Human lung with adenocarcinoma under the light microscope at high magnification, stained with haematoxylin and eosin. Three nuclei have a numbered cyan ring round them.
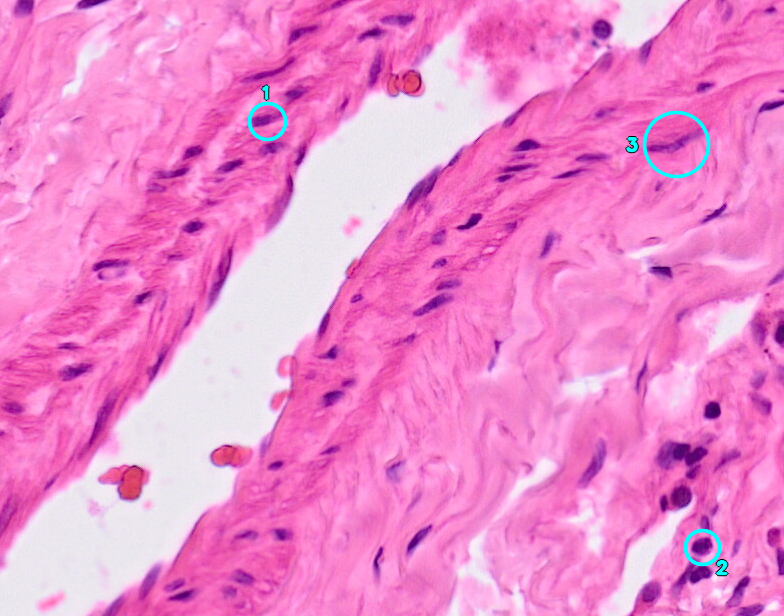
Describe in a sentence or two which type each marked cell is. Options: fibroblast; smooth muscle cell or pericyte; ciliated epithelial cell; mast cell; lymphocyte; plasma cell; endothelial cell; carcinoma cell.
Cells 1 and 3 are smooth muscle cells or pericytes. Cell 2 is a lymphocyte.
